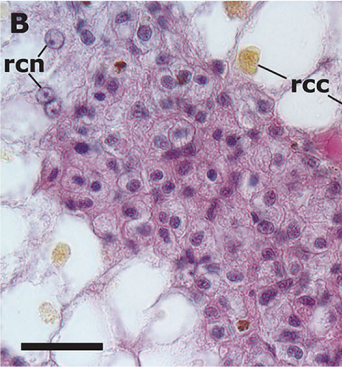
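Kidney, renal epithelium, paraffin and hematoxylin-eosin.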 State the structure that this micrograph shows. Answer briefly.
Hemocyte islet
